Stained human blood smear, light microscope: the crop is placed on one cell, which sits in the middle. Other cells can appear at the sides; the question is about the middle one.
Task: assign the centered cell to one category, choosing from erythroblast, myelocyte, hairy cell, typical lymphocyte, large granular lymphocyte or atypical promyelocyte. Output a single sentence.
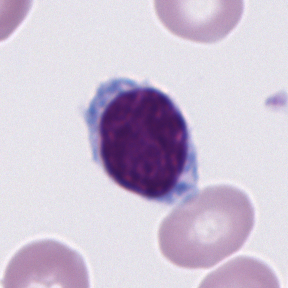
In the center of this field lies a typical lymphocyte.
